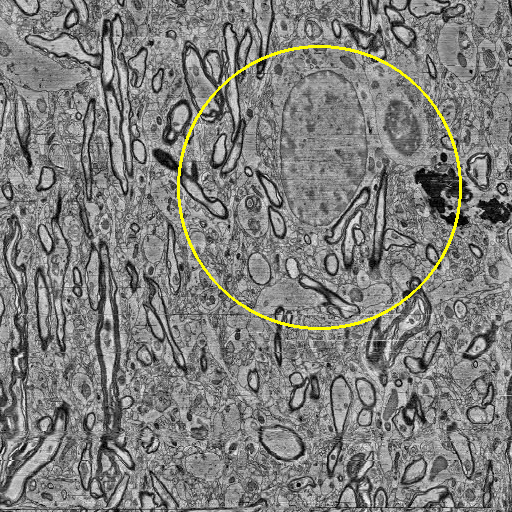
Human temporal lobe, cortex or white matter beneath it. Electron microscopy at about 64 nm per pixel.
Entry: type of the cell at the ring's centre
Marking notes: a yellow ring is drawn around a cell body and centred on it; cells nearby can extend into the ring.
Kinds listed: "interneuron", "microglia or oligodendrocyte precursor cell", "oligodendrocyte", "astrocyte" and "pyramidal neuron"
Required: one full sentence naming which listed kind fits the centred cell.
My entry names an oligodendrocyte as the cell whose body the yellow ring centres on.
